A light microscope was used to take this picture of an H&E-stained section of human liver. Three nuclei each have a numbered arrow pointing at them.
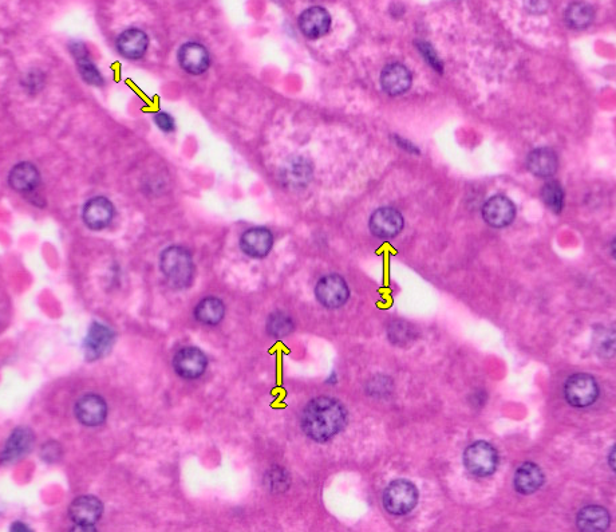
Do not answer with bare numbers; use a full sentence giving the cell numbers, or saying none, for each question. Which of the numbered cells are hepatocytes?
The cells numbered 2 and 3 are typed as hepatocytes.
